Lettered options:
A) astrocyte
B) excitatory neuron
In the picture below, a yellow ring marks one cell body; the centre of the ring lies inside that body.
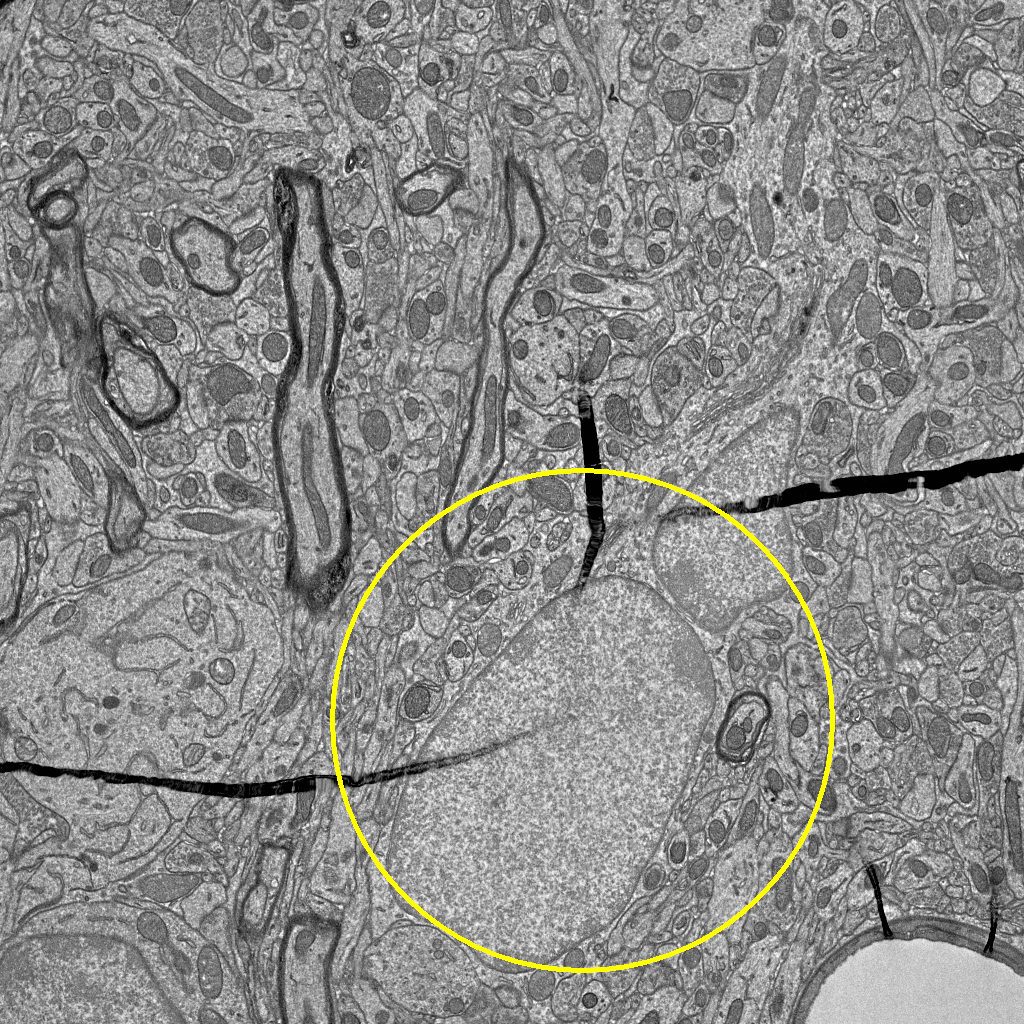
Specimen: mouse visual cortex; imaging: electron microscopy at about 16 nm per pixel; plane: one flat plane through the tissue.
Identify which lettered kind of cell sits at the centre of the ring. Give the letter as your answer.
A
